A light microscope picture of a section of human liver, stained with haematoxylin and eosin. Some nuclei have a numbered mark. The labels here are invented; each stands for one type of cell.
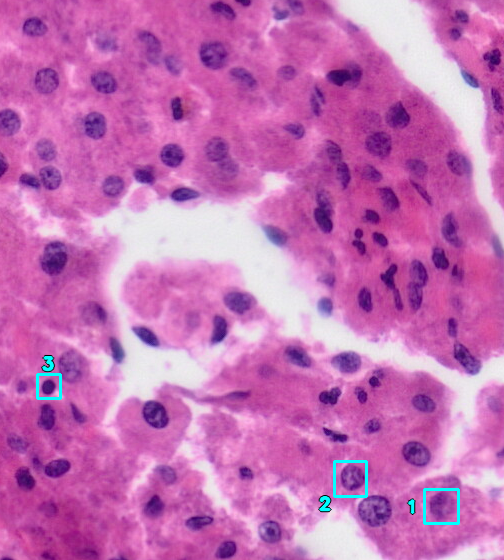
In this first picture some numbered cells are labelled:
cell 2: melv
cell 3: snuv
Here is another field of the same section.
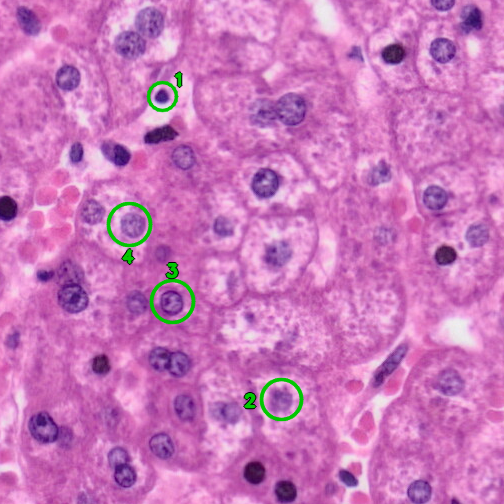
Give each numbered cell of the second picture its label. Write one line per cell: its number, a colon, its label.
1: snuv
2: melv
3: melv
4: melv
